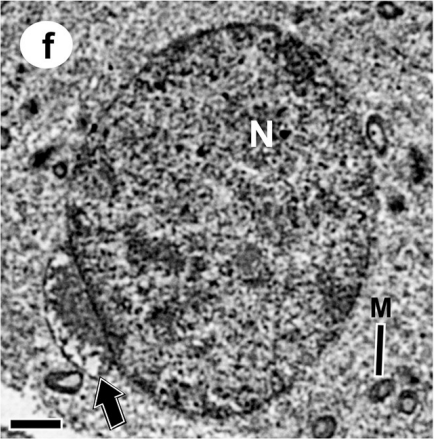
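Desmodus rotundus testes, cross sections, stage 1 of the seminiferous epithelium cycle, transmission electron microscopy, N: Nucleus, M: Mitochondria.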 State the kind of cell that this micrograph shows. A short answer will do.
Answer: Rounded spermatid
